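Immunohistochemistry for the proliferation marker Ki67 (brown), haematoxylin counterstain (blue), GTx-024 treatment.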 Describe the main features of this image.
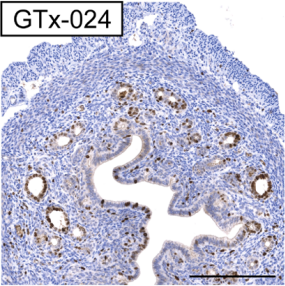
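This is a cross-section of uterus showing a folded central lumen lined by epithelium, with many round glands set in the surrounding blue-stained stroma. The glands are small circular profiles lined by a single layer of columnar epithelial cells, and a large share of their nuclei are stained brown. The lumen lining also carries brown nuclei along much of its length. The stroma between the glands consists of densely packed cells with blue nuclei, among which only occasional brown nuclei are seen. Towards the outer edge the tissue turns into a more compact layer with elongated nuclei, the myometrium.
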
